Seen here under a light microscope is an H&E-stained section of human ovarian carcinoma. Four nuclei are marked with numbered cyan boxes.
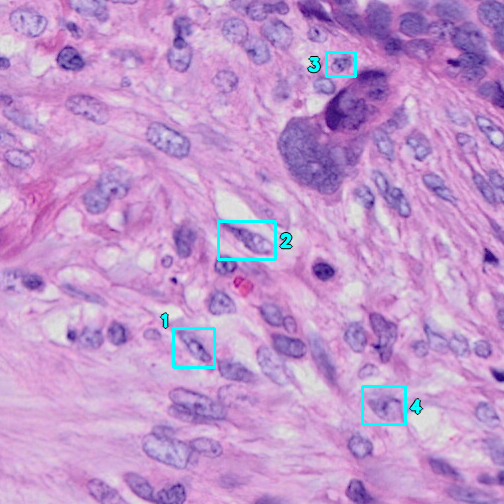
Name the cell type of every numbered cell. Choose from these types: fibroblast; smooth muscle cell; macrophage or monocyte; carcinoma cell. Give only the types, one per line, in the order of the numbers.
fibroblast
fibroblast
macrophage or monocyte
fibroblast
